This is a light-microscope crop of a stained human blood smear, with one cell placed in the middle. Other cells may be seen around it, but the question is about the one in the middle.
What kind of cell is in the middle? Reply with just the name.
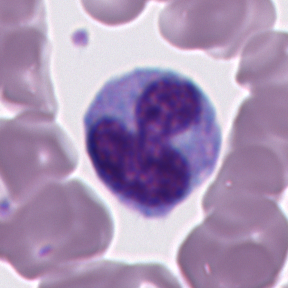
monocyte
